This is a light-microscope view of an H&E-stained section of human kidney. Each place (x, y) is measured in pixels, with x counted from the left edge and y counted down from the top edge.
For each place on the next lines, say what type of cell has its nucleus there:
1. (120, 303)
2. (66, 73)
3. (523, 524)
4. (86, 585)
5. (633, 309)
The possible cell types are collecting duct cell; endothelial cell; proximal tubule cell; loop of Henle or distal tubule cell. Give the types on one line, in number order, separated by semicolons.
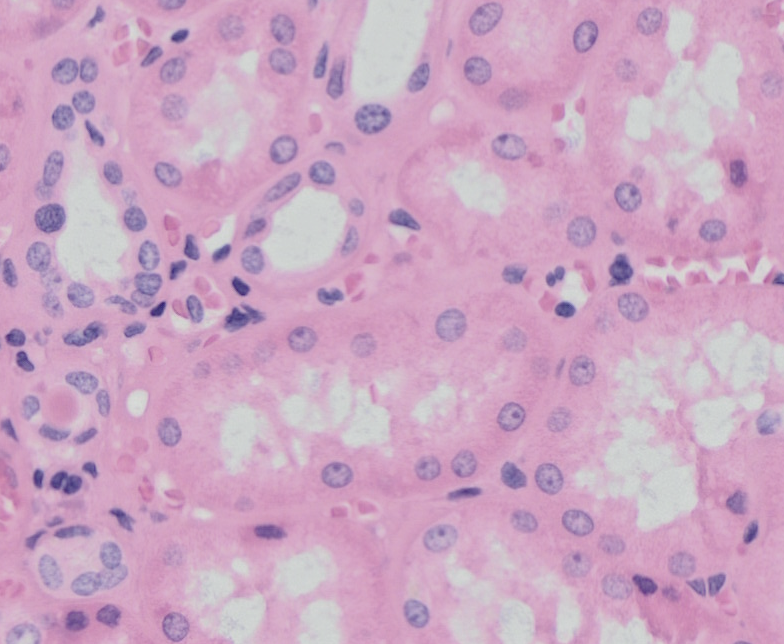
collecting duct cell; collecting duct cell; proximal tubule cell; collecting duct cell; proximal tubule cell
